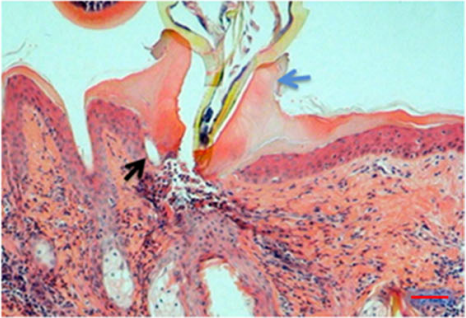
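A slender yellow-brown structure passes through the cone and into the skin. Where it enters the tissue, a dense focus of small dark nuclei marks a cellular infiltration. The surrounding epidermis forms a purple band of layered cells over a pink, fibrous dermis.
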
